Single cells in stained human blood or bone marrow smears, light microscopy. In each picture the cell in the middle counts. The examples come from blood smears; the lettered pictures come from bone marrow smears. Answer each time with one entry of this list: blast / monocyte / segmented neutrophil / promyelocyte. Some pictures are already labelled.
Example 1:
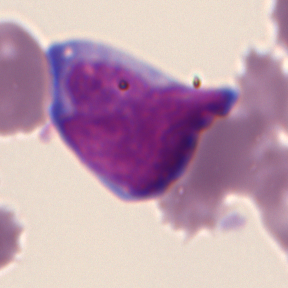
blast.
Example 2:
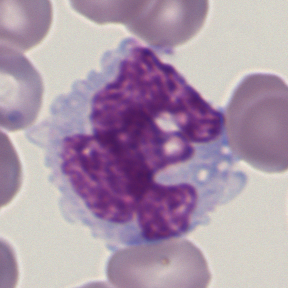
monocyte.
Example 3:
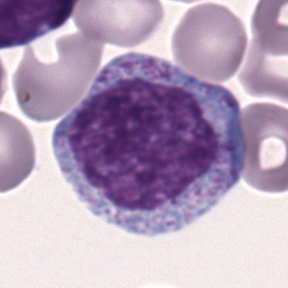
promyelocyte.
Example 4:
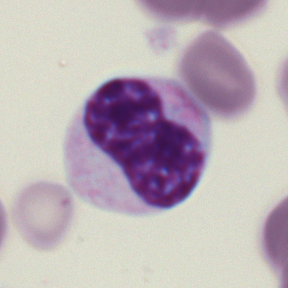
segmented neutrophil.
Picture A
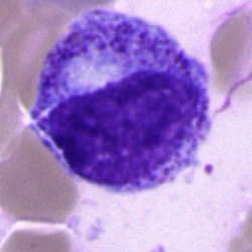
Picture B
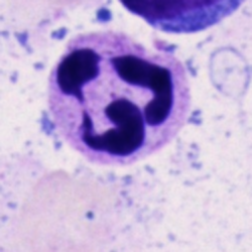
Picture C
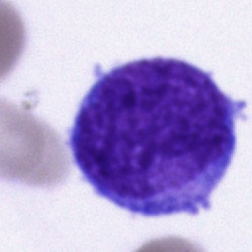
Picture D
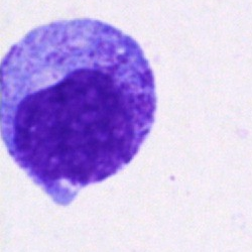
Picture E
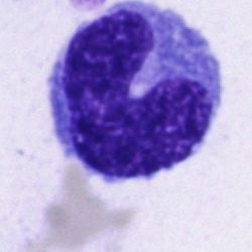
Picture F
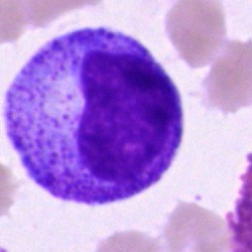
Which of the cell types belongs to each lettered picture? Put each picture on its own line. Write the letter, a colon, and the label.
A: promyelocyte.
B: segmented neutrophil.
C: blast.
D: promyelocyte.
E: monocyte.
F: promyelocyte.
